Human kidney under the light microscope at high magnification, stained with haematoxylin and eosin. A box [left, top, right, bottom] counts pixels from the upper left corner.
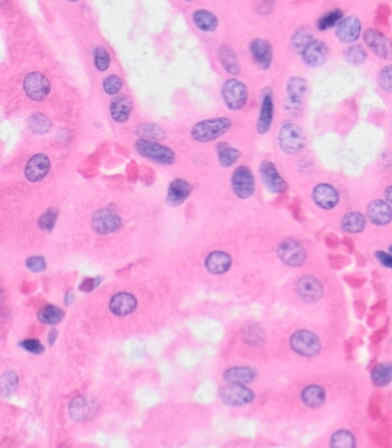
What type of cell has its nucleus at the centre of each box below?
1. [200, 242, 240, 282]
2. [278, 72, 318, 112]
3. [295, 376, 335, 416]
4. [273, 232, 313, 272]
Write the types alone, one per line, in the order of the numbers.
proximal tubule cell
collecting duct cell
proximal tubule cell
proximal tubule cell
